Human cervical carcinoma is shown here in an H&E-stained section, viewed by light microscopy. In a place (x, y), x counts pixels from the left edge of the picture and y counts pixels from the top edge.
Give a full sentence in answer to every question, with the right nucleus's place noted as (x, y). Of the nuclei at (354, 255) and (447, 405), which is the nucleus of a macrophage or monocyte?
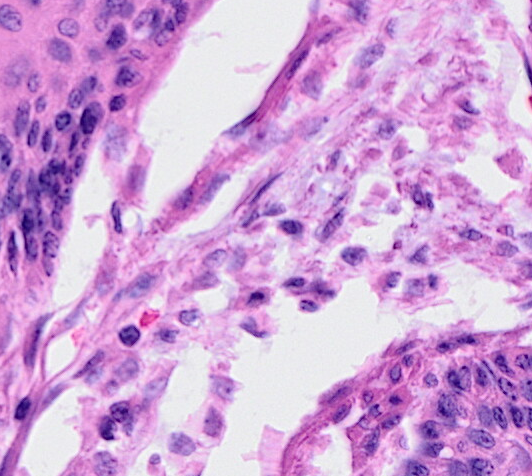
The nucleus at position (354, 255) belongs to a macrophage or monocyte.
